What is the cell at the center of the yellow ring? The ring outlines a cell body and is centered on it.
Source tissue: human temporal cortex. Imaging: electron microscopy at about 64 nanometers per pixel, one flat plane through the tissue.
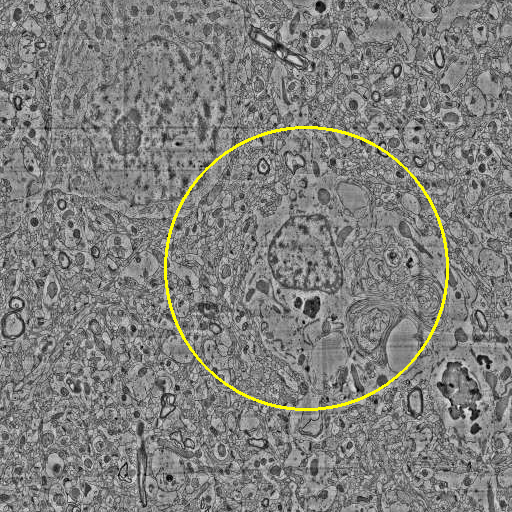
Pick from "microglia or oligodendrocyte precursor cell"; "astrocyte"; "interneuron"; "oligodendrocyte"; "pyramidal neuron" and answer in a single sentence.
The yellow ring is centered on an astrocyte.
